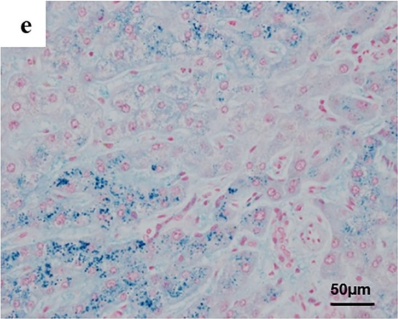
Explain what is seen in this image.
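Liver tissue with plates of hepatocytes separated by narrow sinusoids. The hepatocytes are large polygonal cells with round, pink-red central nuclei and pale cytoplasm. Many of them contain fine, dark blue granules scattered through the cytoplasm, gathered most densely in bands of cell plates in the lower part of the field and in patches at the top. The sinusoidal lining cells between the plates show little or no blue. A faint pale blue background tint lies over much of the tissue, while some areas of hepatocytes remain free of granules.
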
